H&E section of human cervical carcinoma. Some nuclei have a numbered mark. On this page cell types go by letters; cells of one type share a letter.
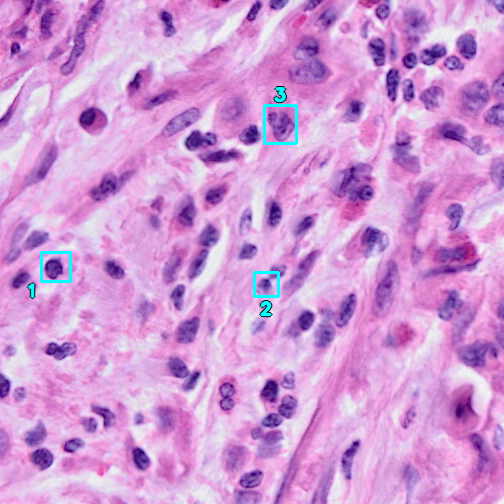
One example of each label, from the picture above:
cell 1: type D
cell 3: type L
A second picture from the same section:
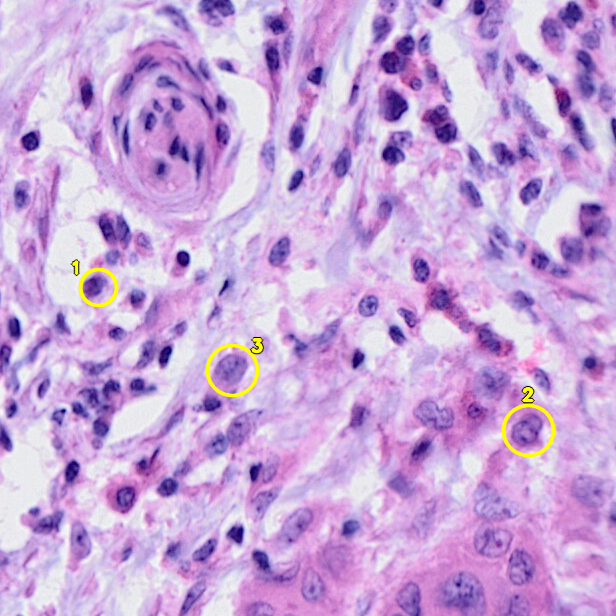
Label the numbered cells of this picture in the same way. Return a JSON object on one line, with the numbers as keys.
{"1": "type D", "2": "type L", "3": "type L"}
